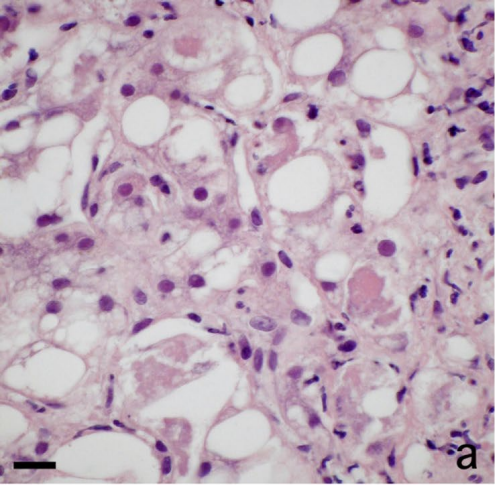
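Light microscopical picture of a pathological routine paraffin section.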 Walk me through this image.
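This section shows parenchymal cells distended by large fat droplets, some of which hold irregular pink material. The droplets appear as round or oval empty white spaces of varying size that dominate the field. Between them lie polygonal cells with pale pink cytoplasm and round, dark purple nuclei, often displaced to the edge. Thin strands with elongated dark nuclei run between the cell groups. In the lower half, several droplets contain darker pink, irregular, clumped material rather than being empty.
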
